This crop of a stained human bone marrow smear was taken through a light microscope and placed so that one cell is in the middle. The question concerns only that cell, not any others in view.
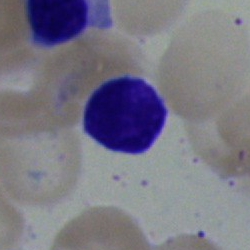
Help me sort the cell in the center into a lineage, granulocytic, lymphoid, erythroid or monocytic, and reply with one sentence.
The cell at the very center of the crop belongs to the lymphoid lineage.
